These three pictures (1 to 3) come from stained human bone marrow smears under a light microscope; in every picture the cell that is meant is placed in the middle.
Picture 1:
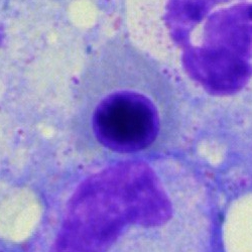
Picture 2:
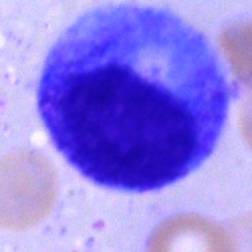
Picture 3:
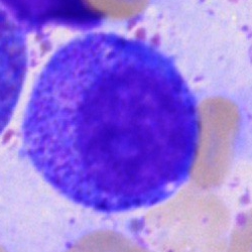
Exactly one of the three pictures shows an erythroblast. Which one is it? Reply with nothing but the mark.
1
